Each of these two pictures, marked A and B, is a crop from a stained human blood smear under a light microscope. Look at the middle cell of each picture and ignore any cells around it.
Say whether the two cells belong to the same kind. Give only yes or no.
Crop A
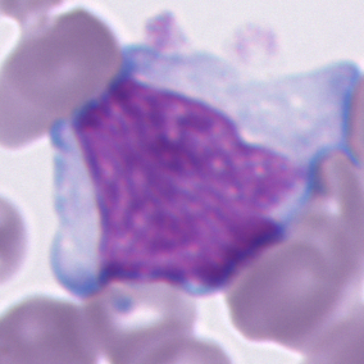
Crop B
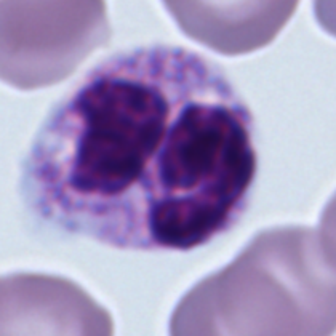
no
